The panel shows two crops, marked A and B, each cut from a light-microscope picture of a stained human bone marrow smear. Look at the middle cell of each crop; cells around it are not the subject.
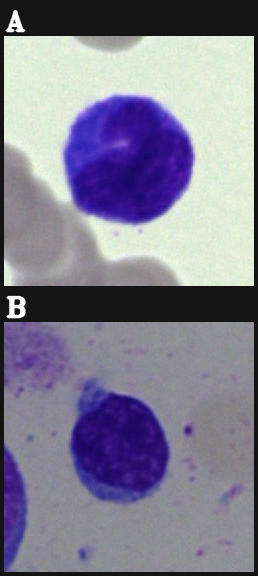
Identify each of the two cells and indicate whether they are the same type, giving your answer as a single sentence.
No, the cell of interest in crop A is a monocyte, and in crop B it is a lymphocyte.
